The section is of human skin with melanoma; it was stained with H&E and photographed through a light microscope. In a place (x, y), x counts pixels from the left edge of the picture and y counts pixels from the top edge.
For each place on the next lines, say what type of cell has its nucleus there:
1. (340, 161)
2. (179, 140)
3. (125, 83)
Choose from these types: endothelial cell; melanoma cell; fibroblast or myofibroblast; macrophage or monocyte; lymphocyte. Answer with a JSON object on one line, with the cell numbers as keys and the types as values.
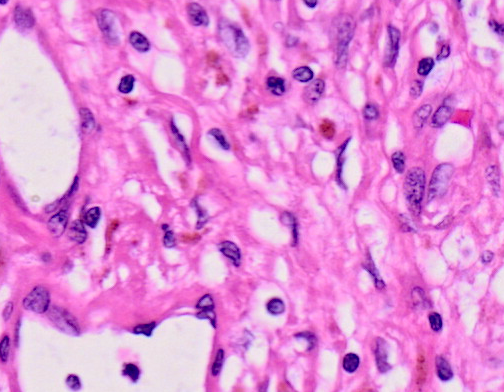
{"1": "fibroblast or myofibroblast", "2": "fibroblast or myofibroblast", "3": "lymphocyte"}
